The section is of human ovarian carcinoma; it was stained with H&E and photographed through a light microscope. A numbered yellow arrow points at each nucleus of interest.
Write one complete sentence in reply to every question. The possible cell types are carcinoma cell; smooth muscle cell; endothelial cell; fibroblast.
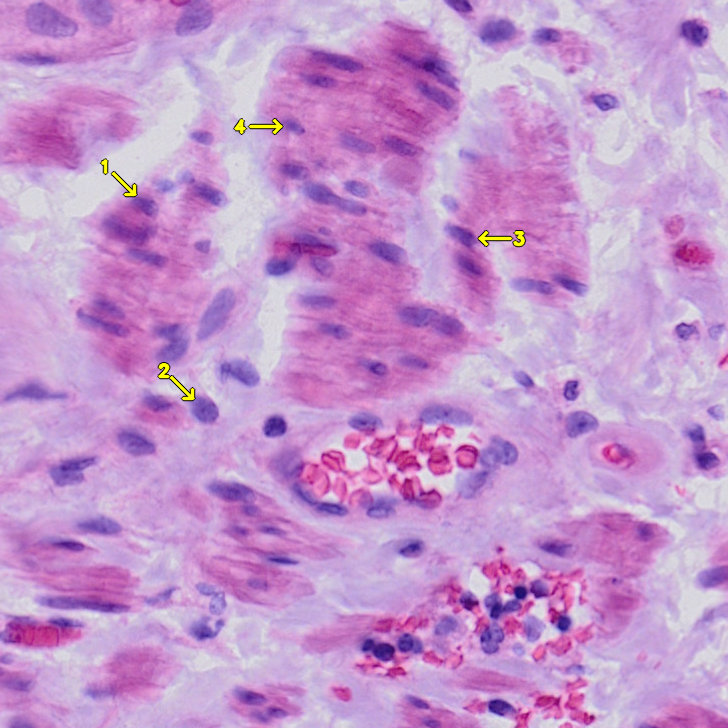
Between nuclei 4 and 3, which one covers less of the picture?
With nucleus 3 about 2 times its size, nucleus 4 is the smaller of the two.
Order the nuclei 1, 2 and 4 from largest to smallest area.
Going from the biggest nucleus down to the smallest gives 2, 1, 4.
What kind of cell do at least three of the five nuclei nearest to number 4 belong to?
Around number 4, most of the five nearest nuclei are those of smooth muscle cells.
